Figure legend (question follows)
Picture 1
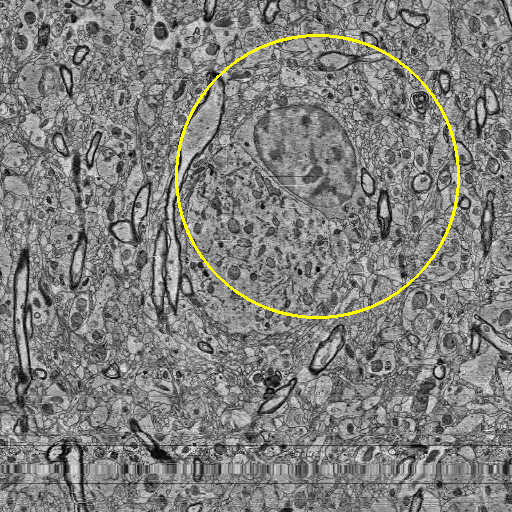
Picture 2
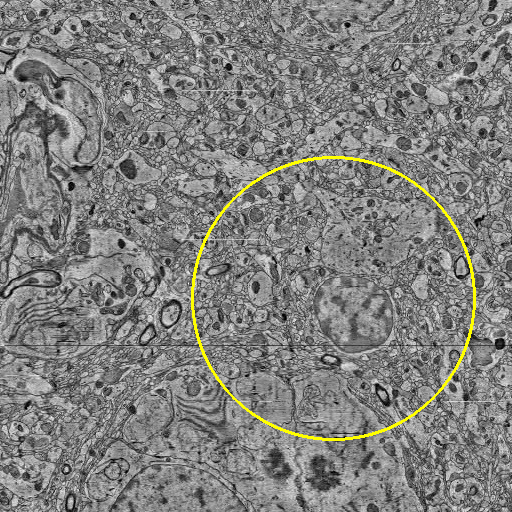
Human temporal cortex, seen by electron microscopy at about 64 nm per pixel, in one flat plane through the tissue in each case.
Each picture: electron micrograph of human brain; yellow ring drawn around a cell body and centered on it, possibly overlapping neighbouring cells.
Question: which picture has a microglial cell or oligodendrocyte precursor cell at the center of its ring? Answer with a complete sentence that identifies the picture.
Picture 2 has it at the center of its ring.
